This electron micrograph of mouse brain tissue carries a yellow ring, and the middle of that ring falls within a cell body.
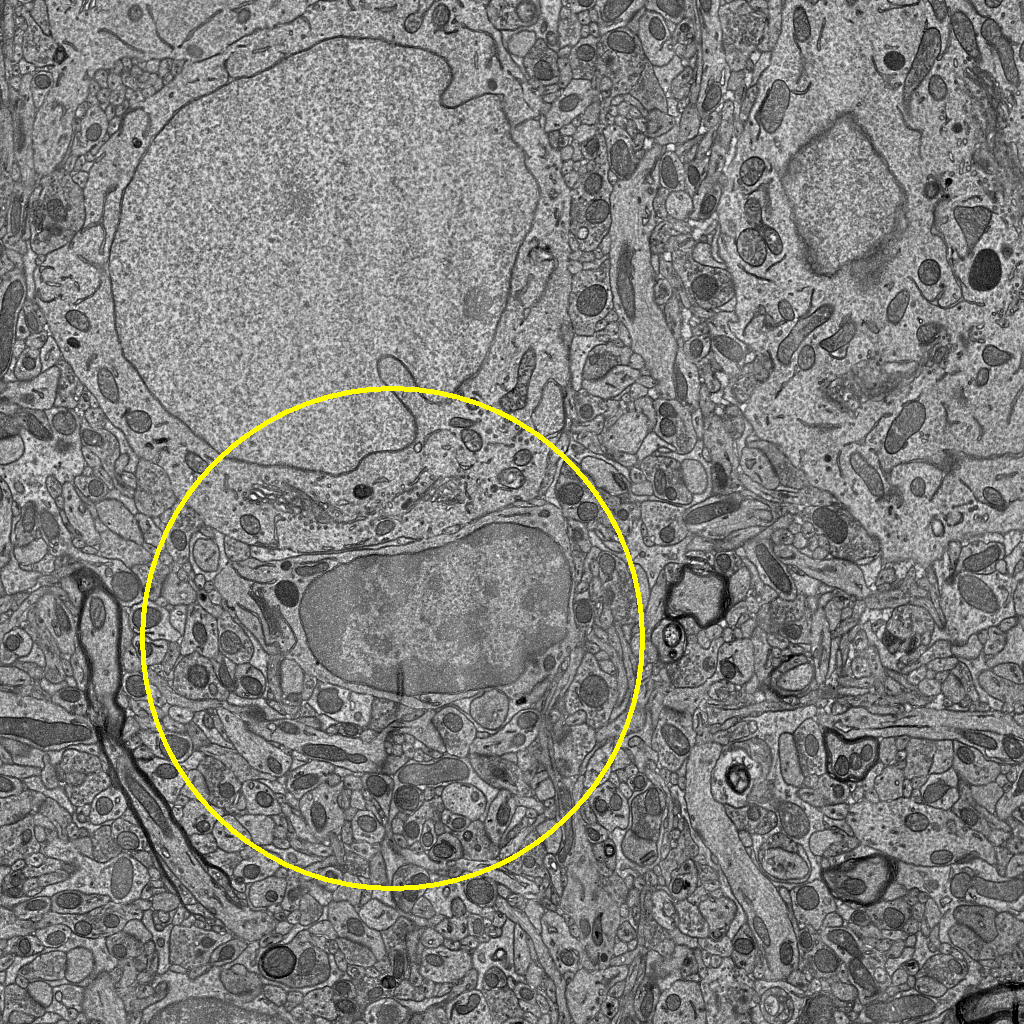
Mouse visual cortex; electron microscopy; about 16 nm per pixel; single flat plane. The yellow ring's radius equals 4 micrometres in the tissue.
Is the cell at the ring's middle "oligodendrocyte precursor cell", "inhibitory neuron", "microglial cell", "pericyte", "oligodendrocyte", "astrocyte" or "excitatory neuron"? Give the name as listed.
microglial cell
